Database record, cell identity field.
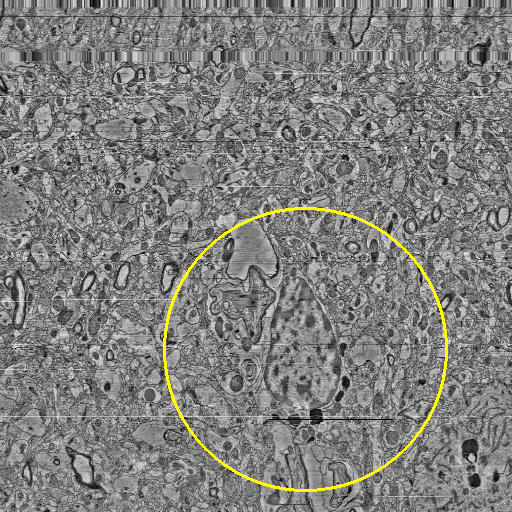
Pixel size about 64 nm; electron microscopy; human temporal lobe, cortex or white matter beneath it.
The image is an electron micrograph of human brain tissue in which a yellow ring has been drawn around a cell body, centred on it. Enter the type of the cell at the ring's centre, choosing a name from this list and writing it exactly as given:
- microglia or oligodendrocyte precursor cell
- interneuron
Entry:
microglia or oligodendrocyte precursor cell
